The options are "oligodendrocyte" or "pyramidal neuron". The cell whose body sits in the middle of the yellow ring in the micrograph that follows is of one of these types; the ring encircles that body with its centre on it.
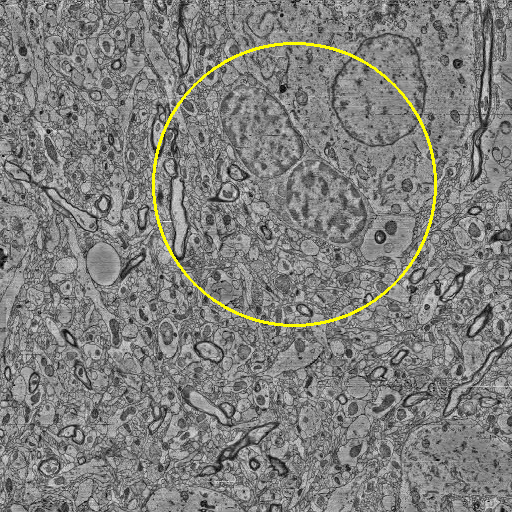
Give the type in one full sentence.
Going by the micrograph, the cell centred in the yellow ring is an oligodendrocyte.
